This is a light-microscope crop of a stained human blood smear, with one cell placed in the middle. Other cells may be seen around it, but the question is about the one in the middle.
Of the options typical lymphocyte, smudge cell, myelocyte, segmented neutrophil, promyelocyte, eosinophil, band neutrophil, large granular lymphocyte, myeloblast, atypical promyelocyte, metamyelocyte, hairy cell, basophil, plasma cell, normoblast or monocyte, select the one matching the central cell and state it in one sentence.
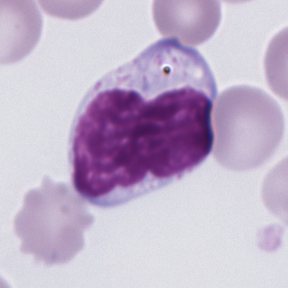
In this smear crop, the middle cell is a large granular lymphocyte.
